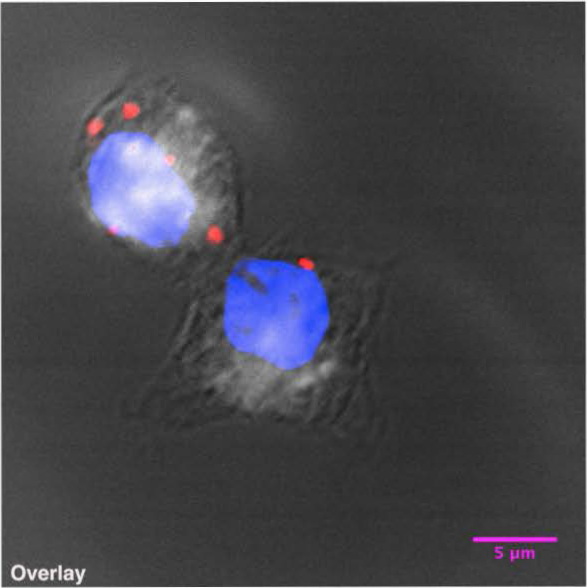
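Two neighbouring spread cells are seen in grey relief, each with a large rounded blue nucleus filling much of the cell body and granular cytoplasm around it. A few bright red dots sit at the rims of the nuclei and in the nearby cytoplasm.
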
